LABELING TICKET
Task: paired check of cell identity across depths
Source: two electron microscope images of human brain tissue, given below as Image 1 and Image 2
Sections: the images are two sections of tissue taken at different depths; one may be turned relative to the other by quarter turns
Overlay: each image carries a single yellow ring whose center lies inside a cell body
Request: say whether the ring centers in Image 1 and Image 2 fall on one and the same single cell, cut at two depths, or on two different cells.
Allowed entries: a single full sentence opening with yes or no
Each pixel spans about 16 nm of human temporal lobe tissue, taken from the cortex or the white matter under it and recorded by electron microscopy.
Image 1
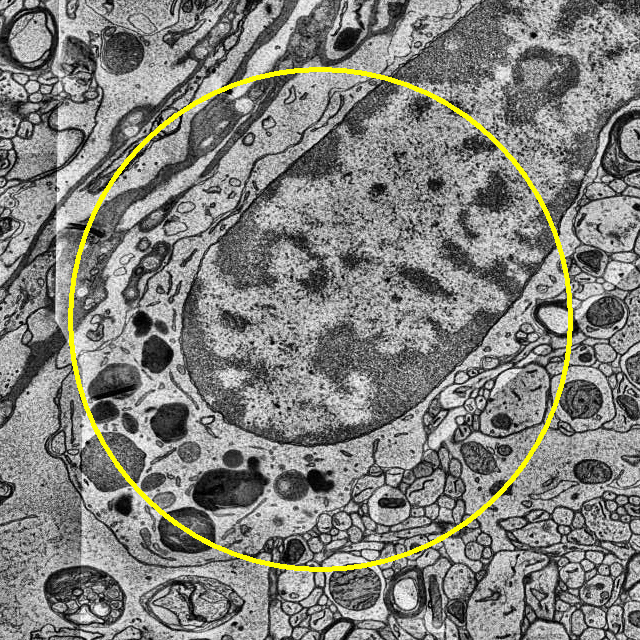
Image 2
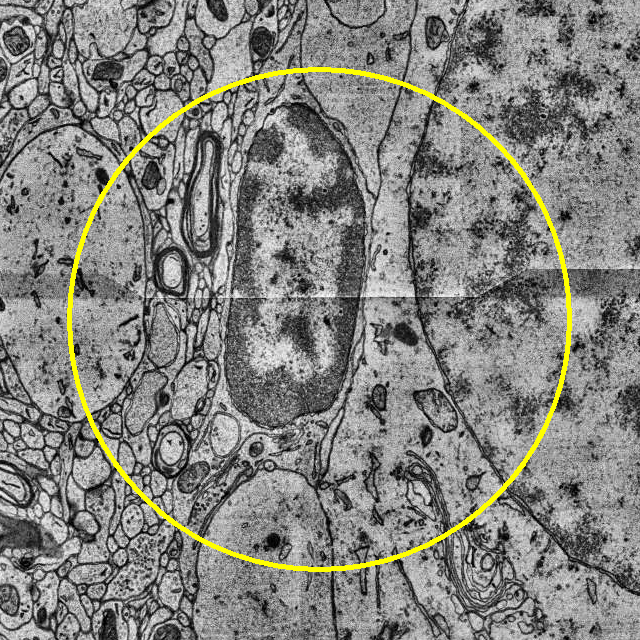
No, the yellow rings mark two cells that are not the same.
